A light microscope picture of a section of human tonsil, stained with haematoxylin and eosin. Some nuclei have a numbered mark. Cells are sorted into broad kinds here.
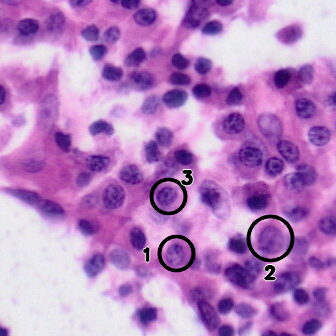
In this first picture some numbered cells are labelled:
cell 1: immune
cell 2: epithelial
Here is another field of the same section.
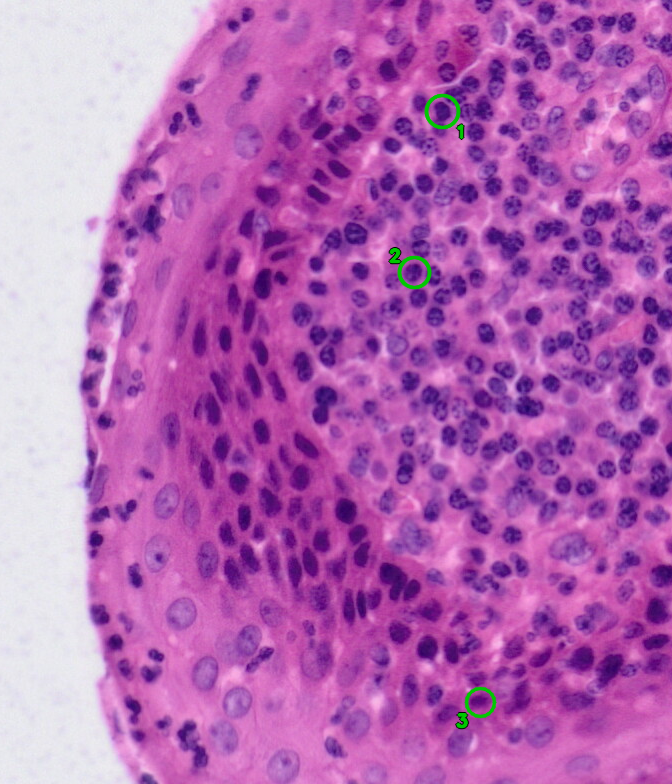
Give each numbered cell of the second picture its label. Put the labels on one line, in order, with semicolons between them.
immune; immune; epithelial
